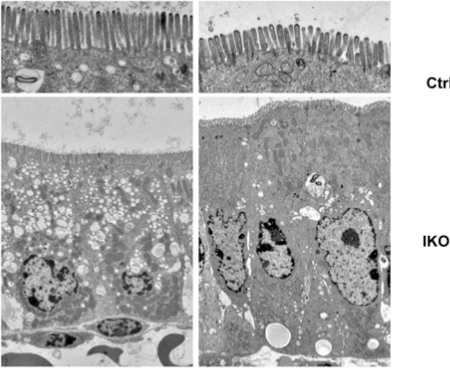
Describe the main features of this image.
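Transmission electron micrographs of intestinal epithelial cells, with enlarged strips of the apical surface above and whole columnar cells below. A regular brush border of parallel apical microvilli covers the free surface; in the right-hand cells the microvilli are shorter. On the left the apical cytoplasm is filled with many clear vacuoles above the nuclei, with a capillary containing red blood cells at the base, while on the right the cytoplasm holds few vacuoles and large oval nuclei with dense chromatin clumps.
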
